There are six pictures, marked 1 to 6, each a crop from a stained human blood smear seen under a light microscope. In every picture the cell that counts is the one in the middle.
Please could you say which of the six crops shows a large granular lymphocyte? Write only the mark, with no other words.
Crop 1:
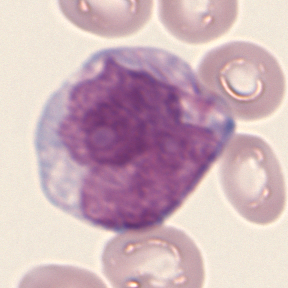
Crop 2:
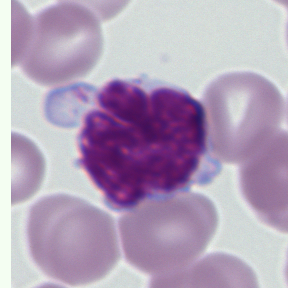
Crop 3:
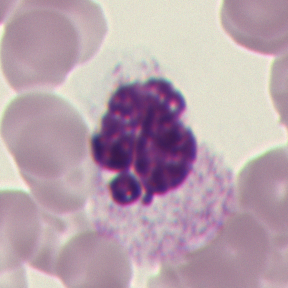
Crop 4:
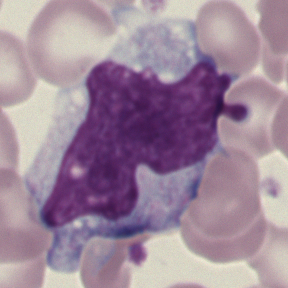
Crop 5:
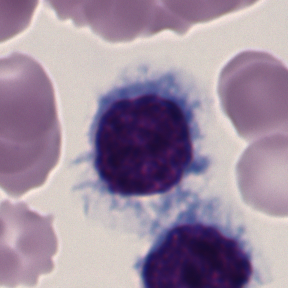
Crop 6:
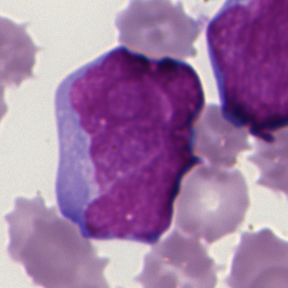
2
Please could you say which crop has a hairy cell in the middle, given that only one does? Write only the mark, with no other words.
5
